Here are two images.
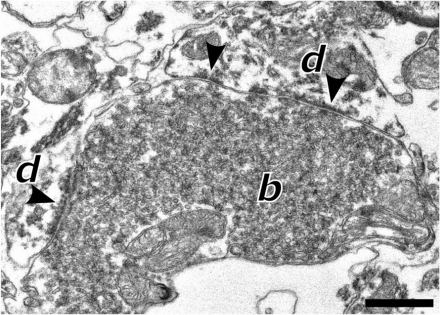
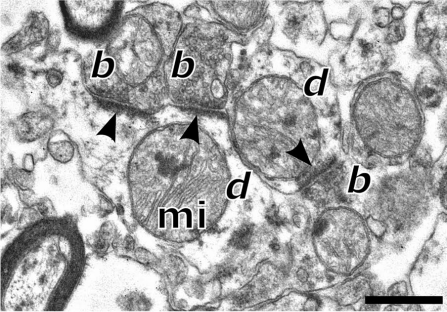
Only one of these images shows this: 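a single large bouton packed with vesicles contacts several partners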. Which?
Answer: The first image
